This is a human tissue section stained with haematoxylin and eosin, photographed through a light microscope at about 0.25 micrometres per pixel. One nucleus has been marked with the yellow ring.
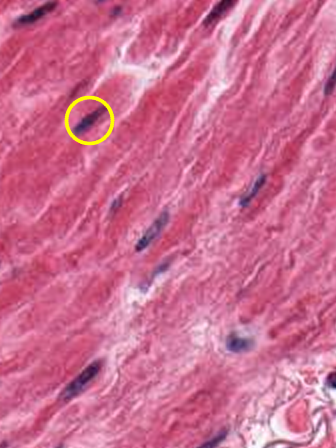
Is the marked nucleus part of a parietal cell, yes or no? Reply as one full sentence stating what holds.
No, the marked nucleus is not one from a parietal cell.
